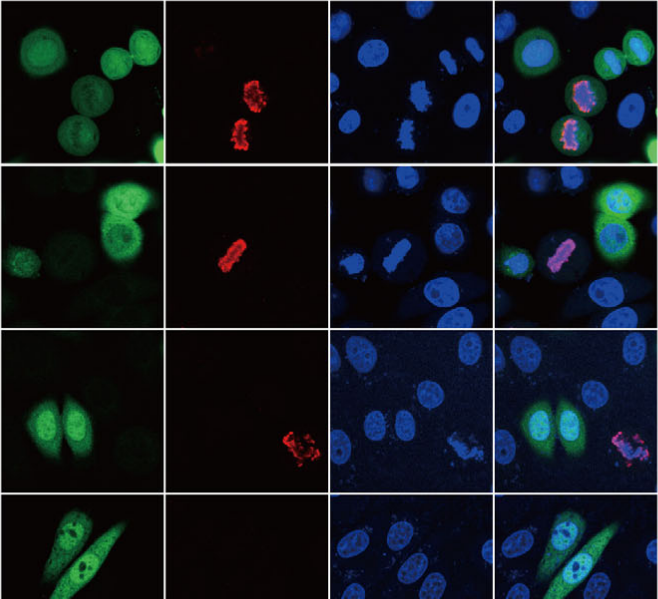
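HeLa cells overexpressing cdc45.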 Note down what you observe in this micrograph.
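Most nuclei in the blue stain are smooth, oval and evenly stained, with darker nucleoli visible in some. In the top row two rounded neighbouring cells each hold such a condensed red chromatin mass, as if just dividing.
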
